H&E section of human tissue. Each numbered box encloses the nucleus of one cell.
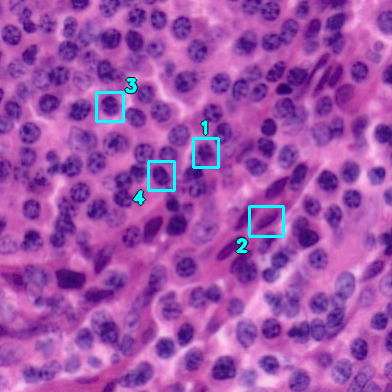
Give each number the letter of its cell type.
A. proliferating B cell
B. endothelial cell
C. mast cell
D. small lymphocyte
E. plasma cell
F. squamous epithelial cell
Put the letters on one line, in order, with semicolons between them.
E; F; E; E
